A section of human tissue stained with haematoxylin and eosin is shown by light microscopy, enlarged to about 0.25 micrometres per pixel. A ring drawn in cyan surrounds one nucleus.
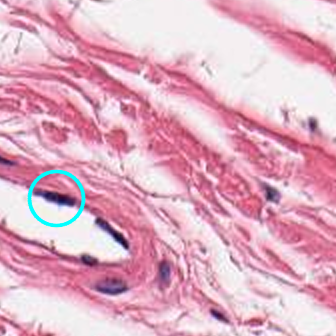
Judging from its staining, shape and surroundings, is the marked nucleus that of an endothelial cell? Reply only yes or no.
yes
